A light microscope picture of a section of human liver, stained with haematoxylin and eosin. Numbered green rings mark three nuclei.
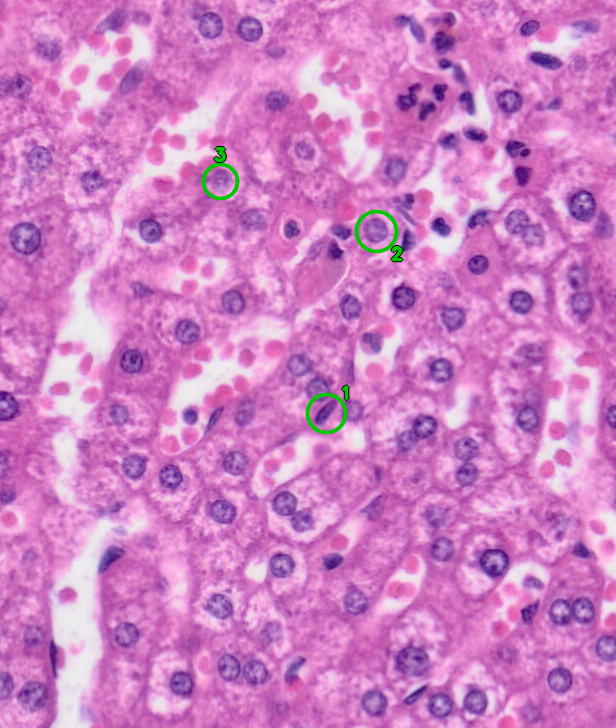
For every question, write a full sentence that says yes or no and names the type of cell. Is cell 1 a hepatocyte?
No, the right label for cell 1 is a fibroblast or stellate cell rather than a hepatocyte.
